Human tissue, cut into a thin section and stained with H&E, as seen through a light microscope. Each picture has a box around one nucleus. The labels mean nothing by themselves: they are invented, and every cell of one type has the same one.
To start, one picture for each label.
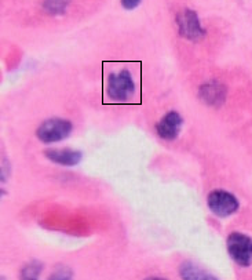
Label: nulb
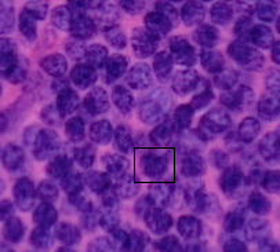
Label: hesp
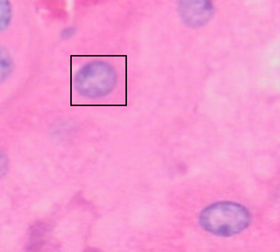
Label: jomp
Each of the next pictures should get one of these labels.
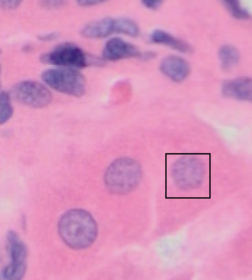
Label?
jomp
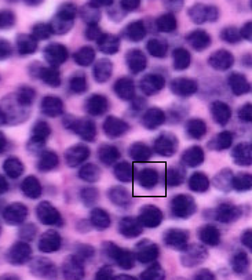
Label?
hesp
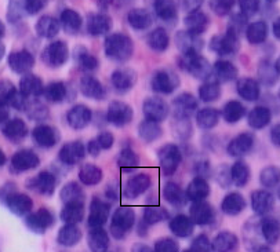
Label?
hesp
